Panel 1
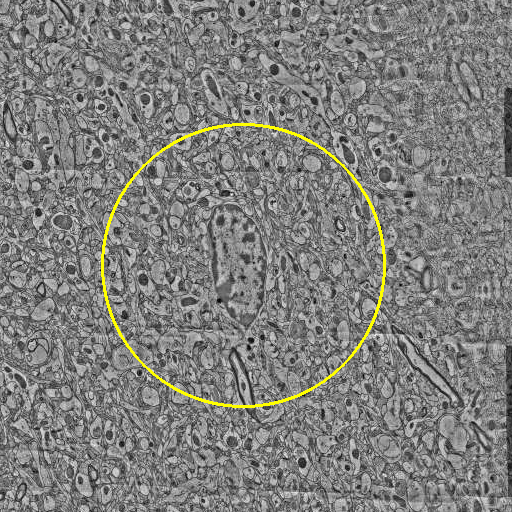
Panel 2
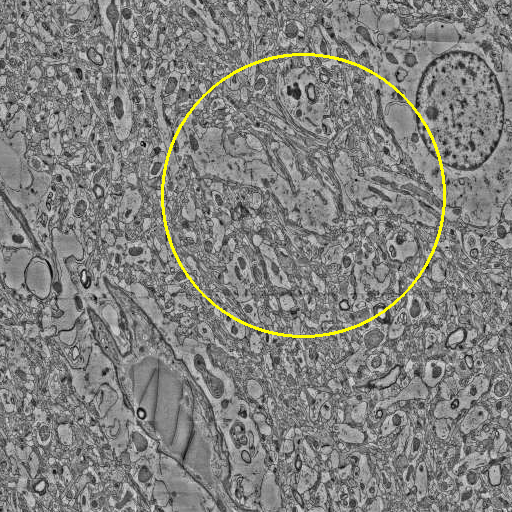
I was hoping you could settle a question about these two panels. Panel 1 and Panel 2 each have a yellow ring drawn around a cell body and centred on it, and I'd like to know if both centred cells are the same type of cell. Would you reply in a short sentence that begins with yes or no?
No, they are two types of cell.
